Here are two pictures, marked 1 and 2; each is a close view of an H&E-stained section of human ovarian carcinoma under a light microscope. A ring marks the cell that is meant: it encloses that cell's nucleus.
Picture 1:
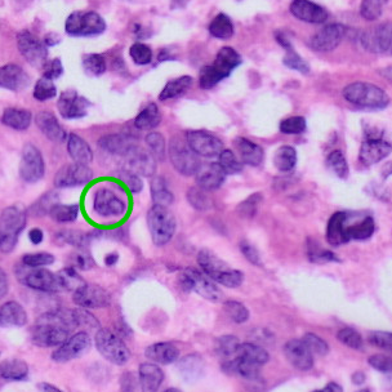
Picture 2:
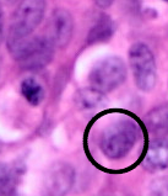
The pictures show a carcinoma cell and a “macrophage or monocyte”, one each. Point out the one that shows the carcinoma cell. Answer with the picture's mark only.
2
